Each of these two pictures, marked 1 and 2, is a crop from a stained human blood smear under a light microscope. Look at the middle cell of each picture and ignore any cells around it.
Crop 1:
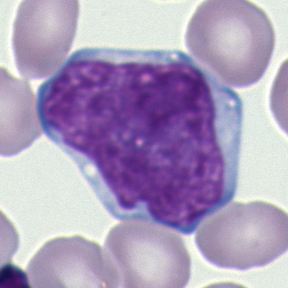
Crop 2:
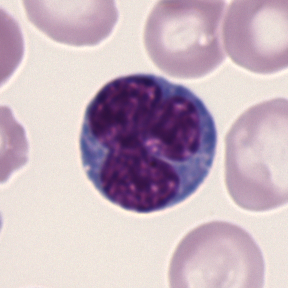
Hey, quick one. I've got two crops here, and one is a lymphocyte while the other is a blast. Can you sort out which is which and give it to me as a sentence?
While crop 1 is a blast, crop 2 is a lymphocyte.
